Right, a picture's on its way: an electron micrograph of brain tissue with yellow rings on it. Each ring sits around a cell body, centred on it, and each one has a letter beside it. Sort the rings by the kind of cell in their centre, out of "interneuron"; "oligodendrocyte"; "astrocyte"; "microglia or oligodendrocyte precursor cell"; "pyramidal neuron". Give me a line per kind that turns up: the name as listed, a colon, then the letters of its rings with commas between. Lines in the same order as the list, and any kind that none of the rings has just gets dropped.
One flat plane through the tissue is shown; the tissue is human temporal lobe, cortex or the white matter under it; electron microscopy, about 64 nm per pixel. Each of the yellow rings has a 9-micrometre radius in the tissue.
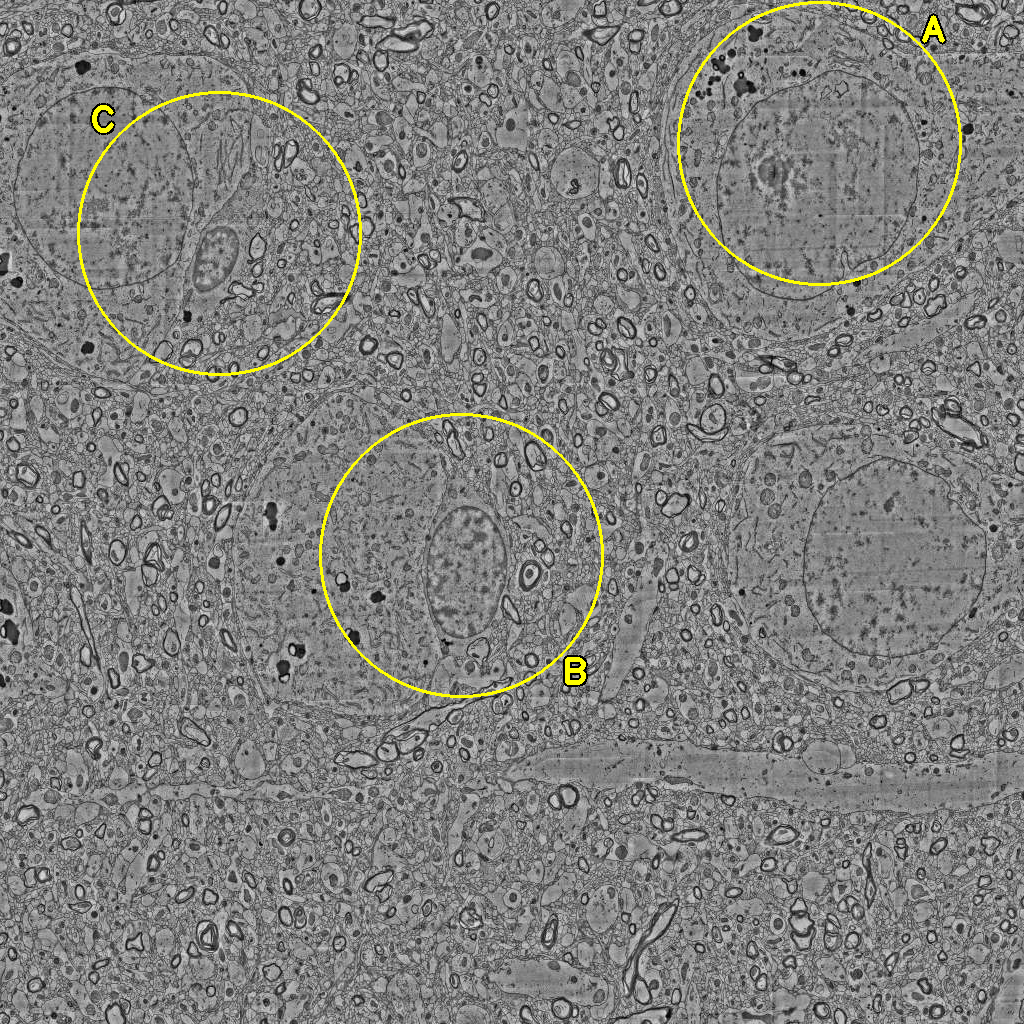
oligodendrocyte: B, C
pyramidal neuron: A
